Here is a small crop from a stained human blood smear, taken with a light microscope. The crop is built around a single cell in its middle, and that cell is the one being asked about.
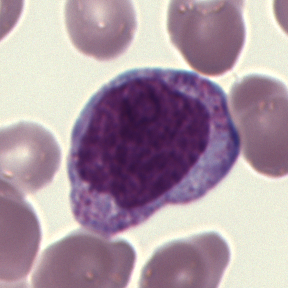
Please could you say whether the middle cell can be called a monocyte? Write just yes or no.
no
